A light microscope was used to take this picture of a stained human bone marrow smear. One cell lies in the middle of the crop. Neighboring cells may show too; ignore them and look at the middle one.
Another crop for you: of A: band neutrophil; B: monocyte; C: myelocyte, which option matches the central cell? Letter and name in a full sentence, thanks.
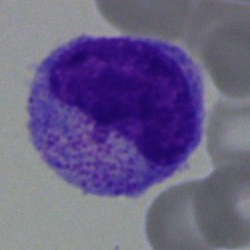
Option C gives the correct identity of the central cell, namely a myelocyte.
